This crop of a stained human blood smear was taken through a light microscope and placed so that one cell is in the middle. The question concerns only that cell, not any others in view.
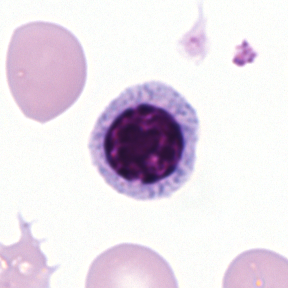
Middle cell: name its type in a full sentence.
Seen at the centre of the crop is an erythroblast.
